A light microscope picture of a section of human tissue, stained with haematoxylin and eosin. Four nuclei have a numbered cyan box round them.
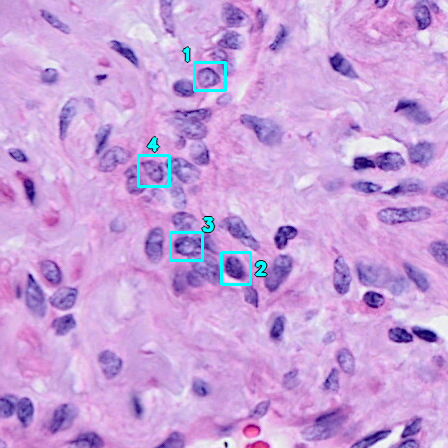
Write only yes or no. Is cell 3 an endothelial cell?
yes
